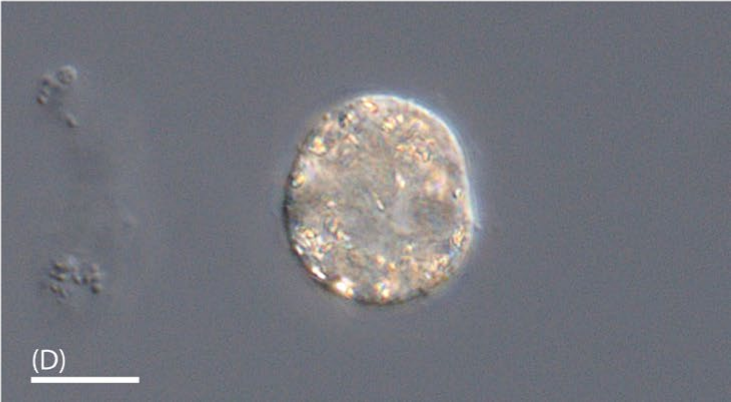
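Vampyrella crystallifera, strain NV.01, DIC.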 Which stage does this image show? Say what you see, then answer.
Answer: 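A single rounded cell with a smooth, sharp outline. No filopodia or other projections extend from it. The interior is packed with granular, refractile contents. So: Digestive cyst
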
